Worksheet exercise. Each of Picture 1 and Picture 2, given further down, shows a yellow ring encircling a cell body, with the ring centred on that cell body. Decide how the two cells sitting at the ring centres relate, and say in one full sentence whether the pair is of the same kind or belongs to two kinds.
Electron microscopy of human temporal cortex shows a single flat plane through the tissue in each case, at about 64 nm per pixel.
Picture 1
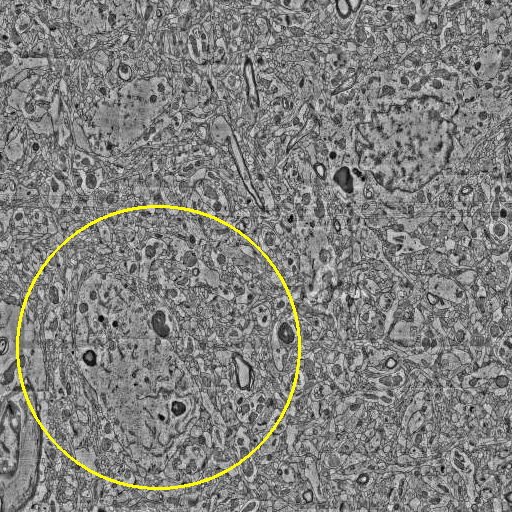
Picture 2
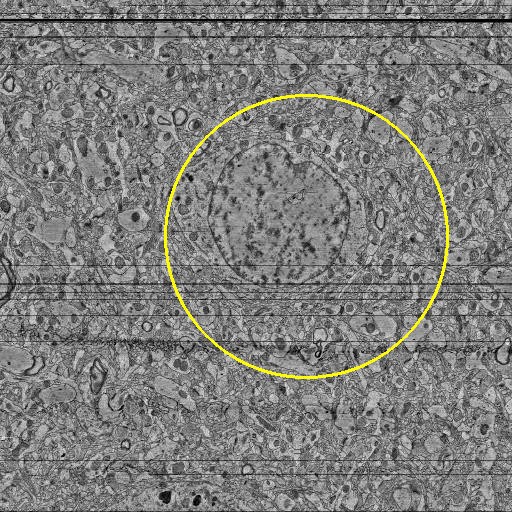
The cells at the ring centres in Picture 1 and Picture 2 are of the same kind.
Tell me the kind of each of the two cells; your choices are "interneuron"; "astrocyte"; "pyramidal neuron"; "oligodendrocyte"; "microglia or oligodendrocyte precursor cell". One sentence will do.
Each of the two cells is a pyramidal neuron.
